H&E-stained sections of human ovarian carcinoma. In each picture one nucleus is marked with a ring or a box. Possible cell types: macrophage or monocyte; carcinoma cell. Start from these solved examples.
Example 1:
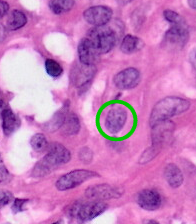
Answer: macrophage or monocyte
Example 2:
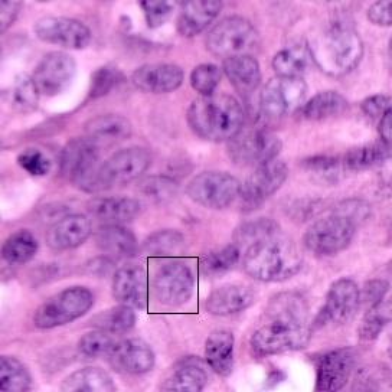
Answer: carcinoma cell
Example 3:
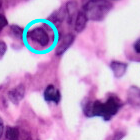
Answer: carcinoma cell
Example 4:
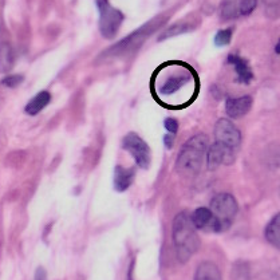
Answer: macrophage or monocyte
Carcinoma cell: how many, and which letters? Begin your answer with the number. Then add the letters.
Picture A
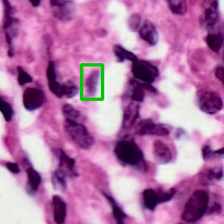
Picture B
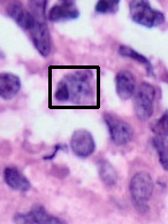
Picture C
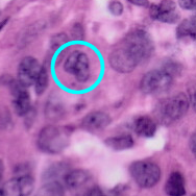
0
